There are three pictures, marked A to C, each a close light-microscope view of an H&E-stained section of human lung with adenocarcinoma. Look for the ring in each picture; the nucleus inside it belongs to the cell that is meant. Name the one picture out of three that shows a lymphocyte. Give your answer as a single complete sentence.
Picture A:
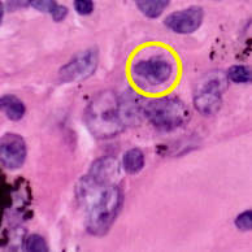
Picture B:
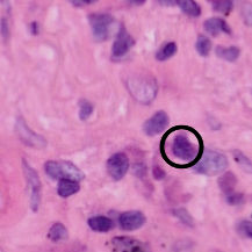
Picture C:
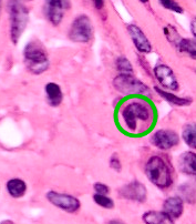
It is picture A that shows the lymphocyte.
